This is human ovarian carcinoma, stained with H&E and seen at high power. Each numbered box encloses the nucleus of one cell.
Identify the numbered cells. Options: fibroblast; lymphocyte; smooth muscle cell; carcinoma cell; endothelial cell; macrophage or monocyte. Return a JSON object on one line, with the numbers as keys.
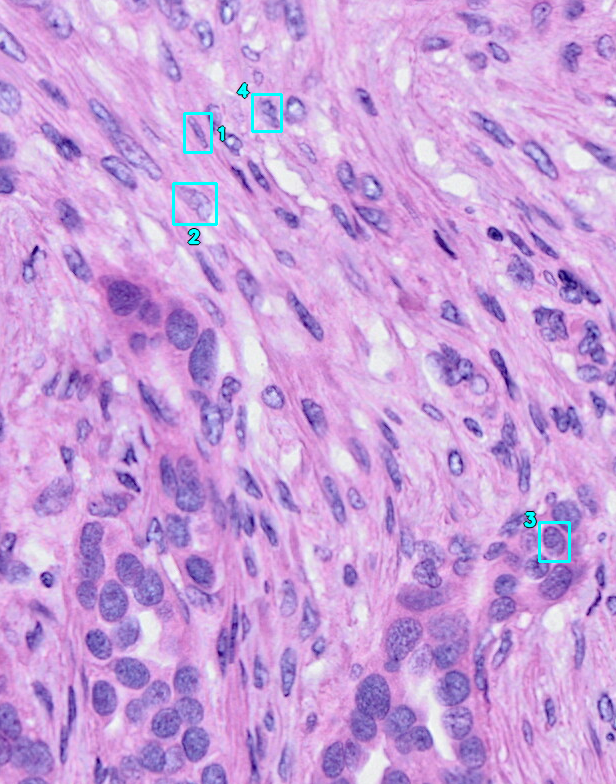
{"1": "fibroblast", "2": "fibroblast", "3": "carcinoma cell", "4": "fibroblast"}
